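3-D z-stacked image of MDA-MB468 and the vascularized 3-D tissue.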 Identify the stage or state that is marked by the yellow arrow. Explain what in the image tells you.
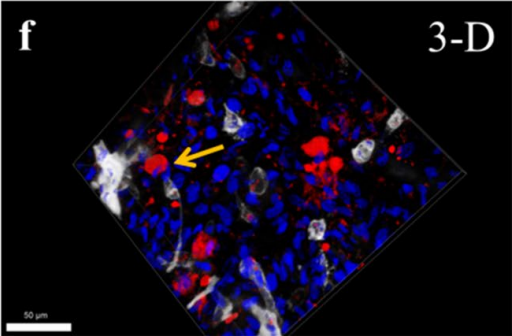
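Rounded morphology. The arrow points at a round red cell. The red cell has a smooth circular outline without processes.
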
